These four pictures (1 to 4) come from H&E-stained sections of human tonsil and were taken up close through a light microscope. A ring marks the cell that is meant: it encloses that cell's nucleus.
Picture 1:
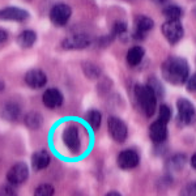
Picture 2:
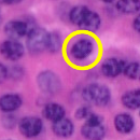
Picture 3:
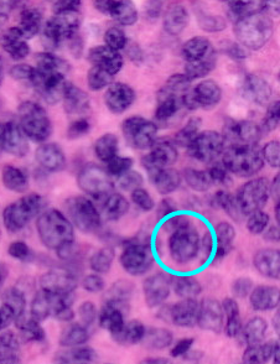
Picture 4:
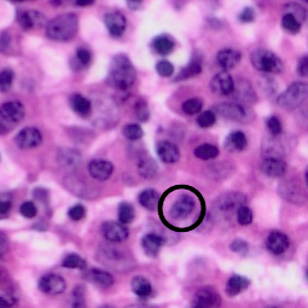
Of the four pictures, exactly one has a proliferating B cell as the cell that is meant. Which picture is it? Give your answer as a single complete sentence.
The proliferating B cell is the one in picture 3.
